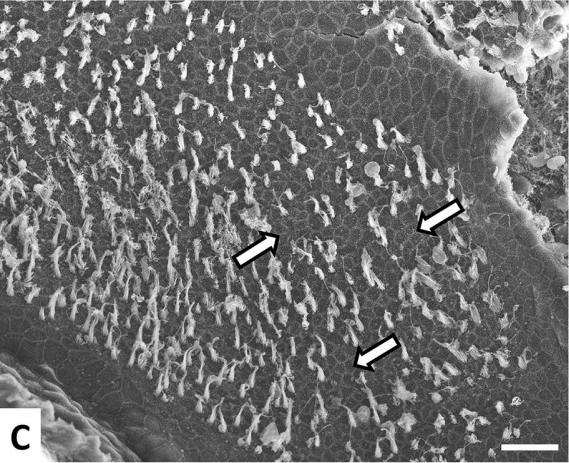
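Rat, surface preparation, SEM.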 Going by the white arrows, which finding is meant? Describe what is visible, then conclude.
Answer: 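The arrows point to patches of flat polygonal cell surfaces with no tufts. Tufts elsewhere in the field are irregularly spaced.
Hence: lack of stereocilia bundles.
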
